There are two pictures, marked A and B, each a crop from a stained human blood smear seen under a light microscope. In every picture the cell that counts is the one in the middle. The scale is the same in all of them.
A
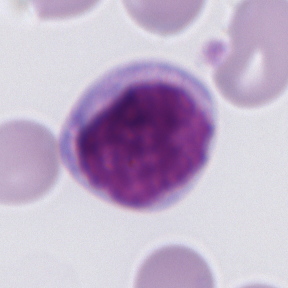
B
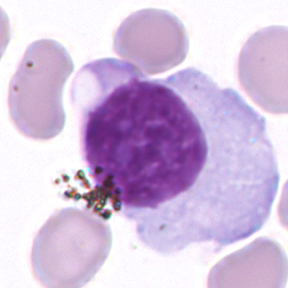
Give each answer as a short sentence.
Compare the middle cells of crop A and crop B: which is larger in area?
Crop B holds the larger cell; it covers about 1.5 times the area of the cell in crop A.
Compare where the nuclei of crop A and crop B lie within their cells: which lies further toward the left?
The nucleus in crop B lies further toward the left of its cell.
